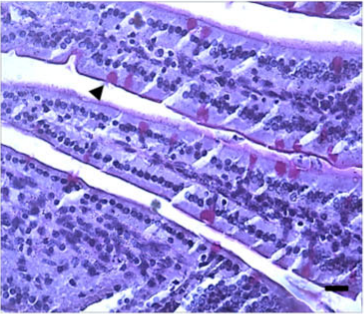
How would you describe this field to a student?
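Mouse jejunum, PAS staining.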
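Several long, finger-like intestinal villi run obliquely across the field, separated by pale, empty lumen. Scattered among the epithelial cells are rounded goblet cells filled with magenta-stained contents. The villus cores contain loose connective tissue with many small, dark, rounded nuclei.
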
